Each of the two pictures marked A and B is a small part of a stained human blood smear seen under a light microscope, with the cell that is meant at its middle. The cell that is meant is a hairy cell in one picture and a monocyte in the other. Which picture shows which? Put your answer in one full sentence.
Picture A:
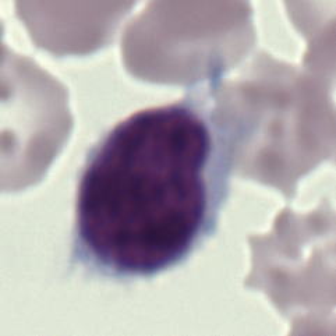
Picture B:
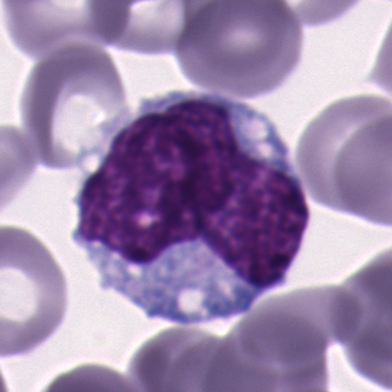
Picture A is of a hairy cell, and picture B is of a monocyte.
